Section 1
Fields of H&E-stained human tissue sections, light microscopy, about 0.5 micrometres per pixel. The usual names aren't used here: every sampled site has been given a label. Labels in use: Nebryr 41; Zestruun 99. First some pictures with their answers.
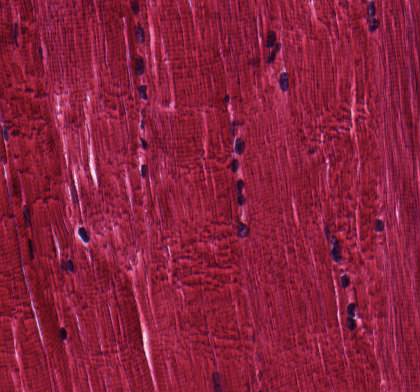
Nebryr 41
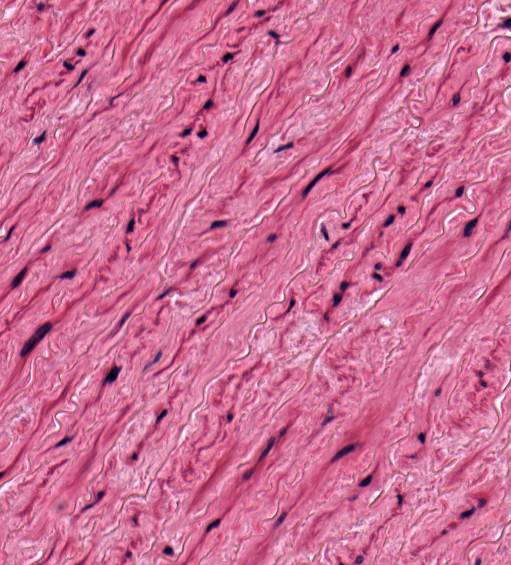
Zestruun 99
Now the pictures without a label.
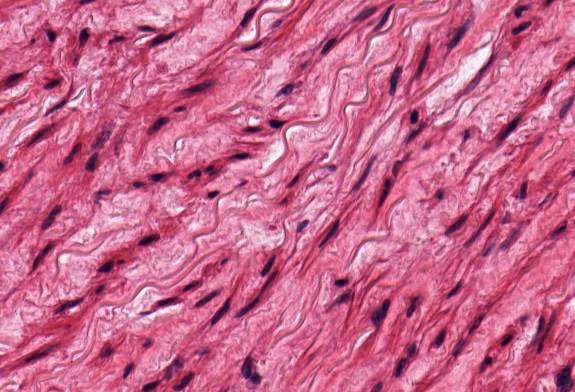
Zestruun 99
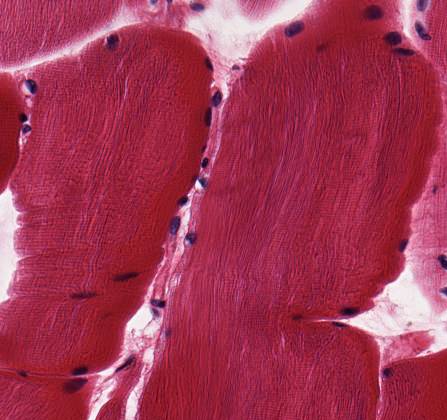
Nebryr 41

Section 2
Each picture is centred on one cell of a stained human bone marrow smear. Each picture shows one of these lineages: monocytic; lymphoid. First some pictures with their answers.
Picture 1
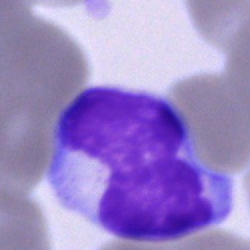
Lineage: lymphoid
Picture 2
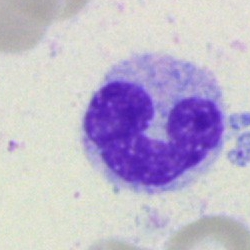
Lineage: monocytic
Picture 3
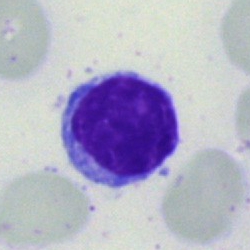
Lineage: lymphoid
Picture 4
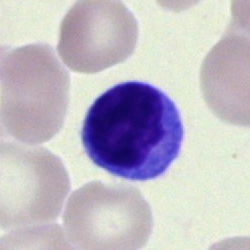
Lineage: lymphoid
